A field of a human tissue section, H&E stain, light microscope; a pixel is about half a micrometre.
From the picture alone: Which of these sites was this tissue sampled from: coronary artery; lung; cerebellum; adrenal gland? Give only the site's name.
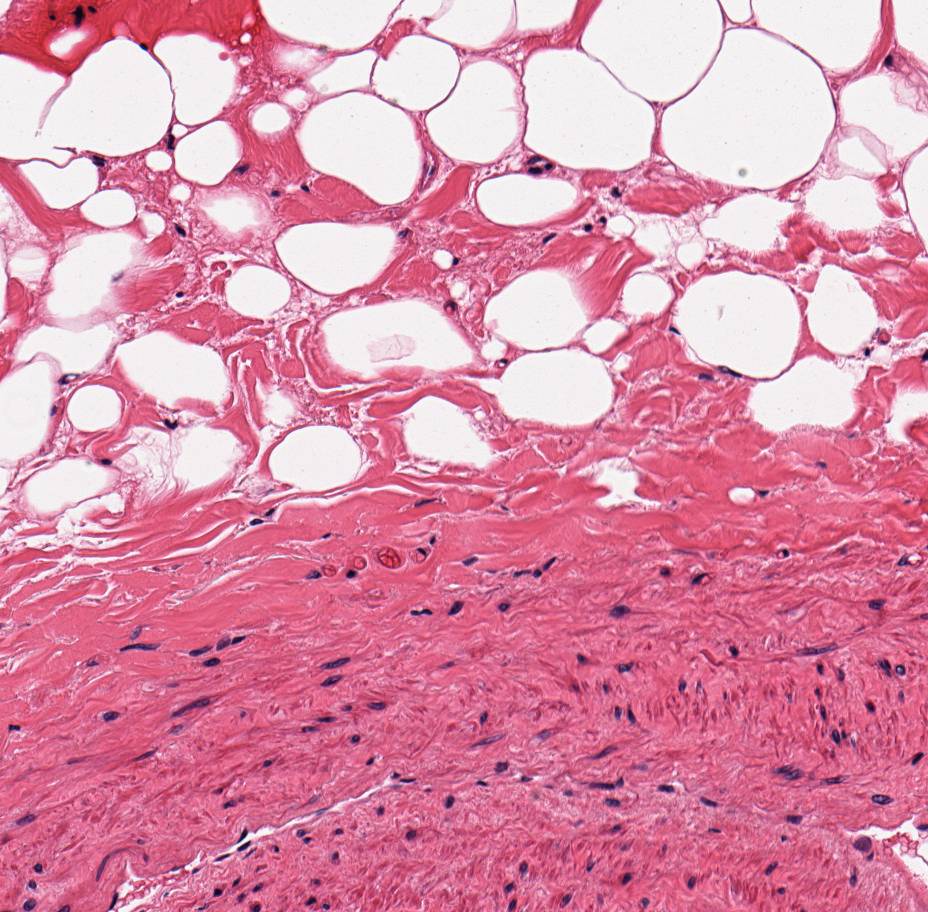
coronary artery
